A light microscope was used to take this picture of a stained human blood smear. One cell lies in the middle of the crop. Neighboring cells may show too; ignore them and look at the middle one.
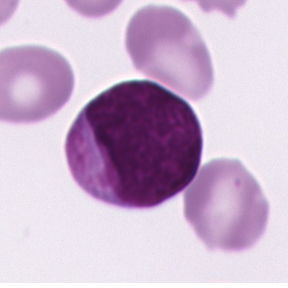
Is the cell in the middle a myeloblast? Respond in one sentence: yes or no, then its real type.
Yes, the cell centred in the field of view is a myeloblast.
